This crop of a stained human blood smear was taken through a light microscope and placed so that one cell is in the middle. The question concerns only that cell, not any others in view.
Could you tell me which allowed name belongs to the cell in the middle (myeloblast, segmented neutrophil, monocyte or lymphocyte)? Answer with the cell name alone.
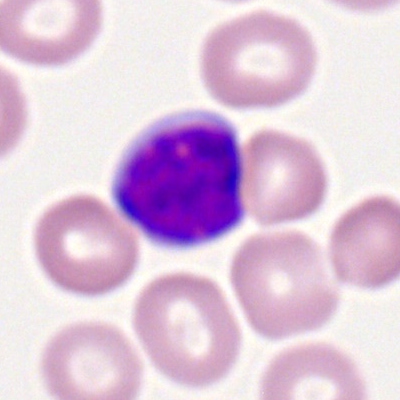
lymphocyte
